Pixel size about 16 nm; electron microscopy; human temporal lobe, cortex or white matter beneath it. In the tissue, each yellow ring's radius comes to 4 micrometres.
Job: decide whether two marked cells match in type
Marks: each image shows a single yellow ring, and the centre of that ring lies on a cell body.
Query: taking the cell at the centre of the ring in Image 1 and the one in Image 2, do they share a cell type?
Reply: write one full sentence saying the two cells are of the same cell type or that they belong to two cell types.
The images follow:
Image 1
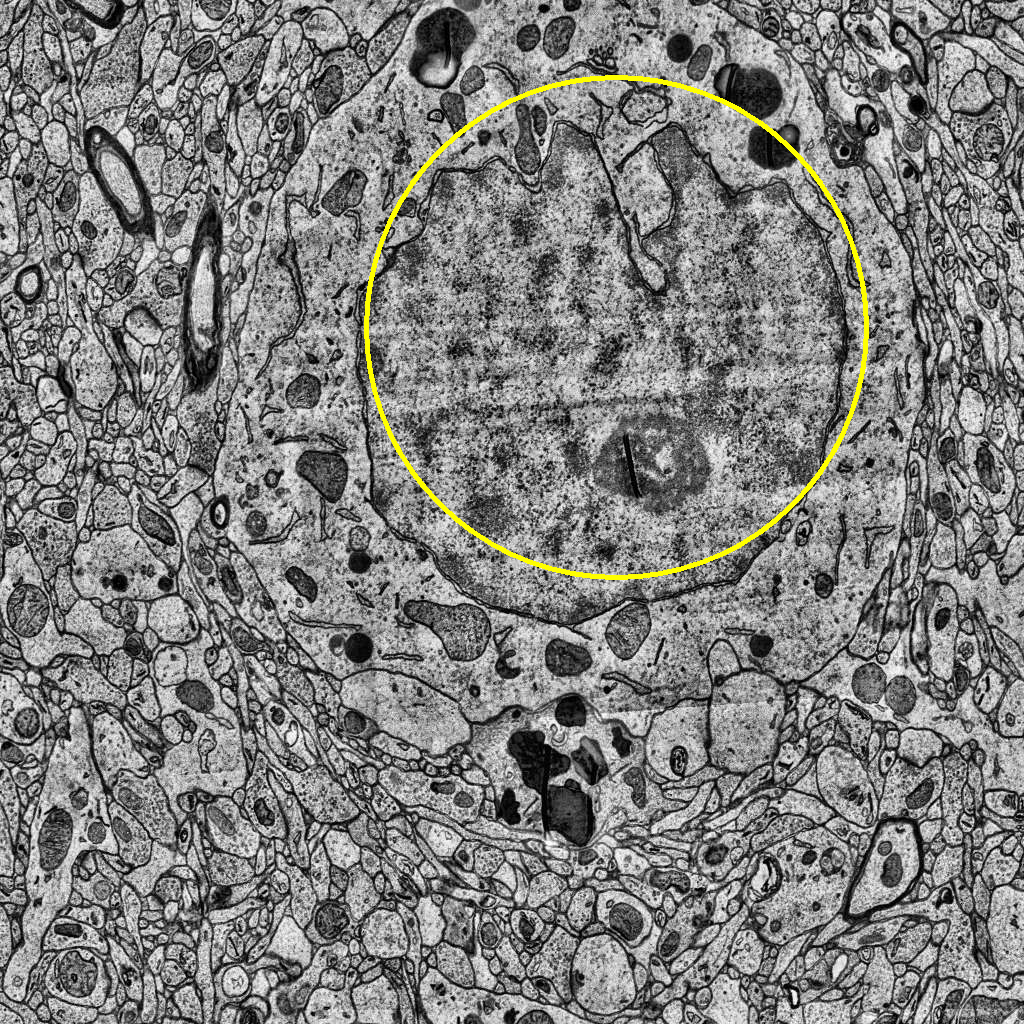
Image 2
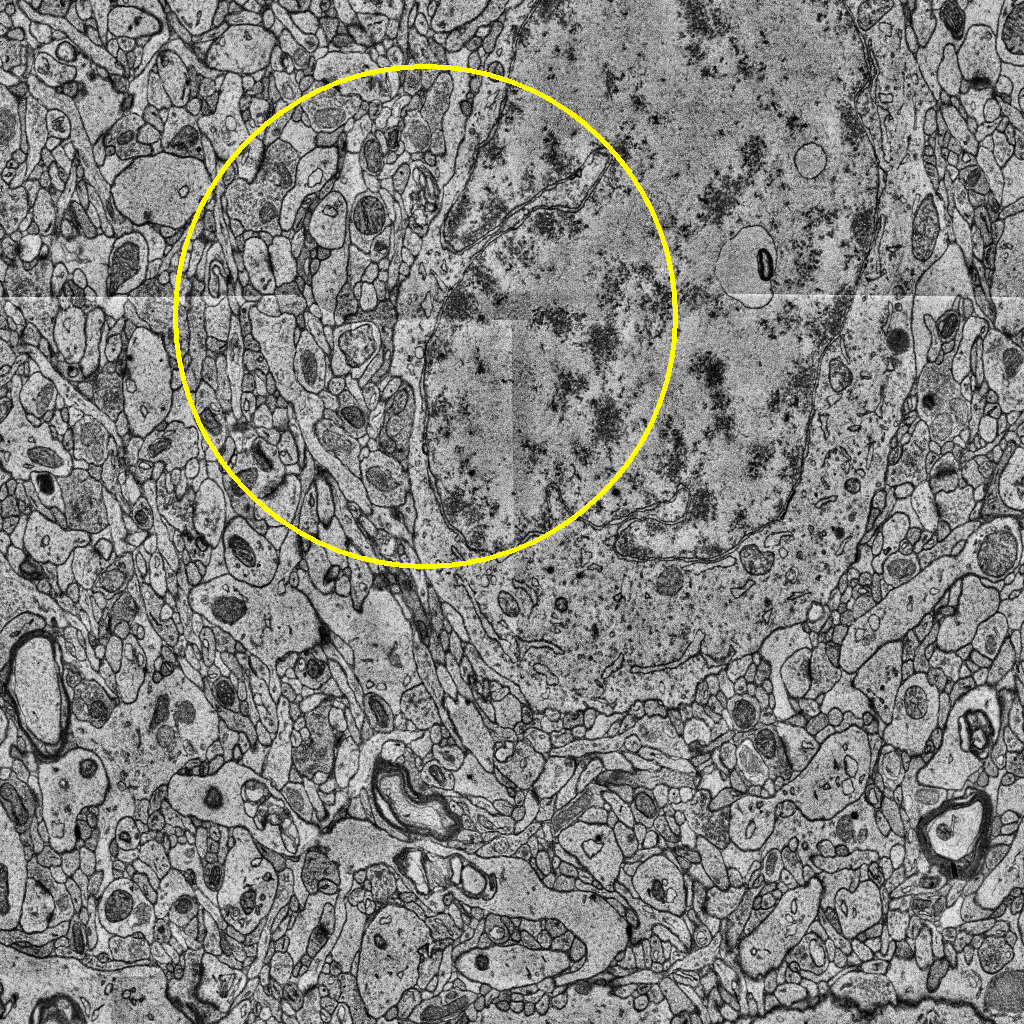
The cells at the ring centres in Image 1 and Image 2 are of the same cell type.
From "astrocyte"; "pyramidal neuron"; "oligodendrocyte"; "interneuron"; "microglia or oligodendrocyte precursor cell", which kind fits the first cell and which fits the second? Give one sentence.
The second cell is an interneuron, just as the first is.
